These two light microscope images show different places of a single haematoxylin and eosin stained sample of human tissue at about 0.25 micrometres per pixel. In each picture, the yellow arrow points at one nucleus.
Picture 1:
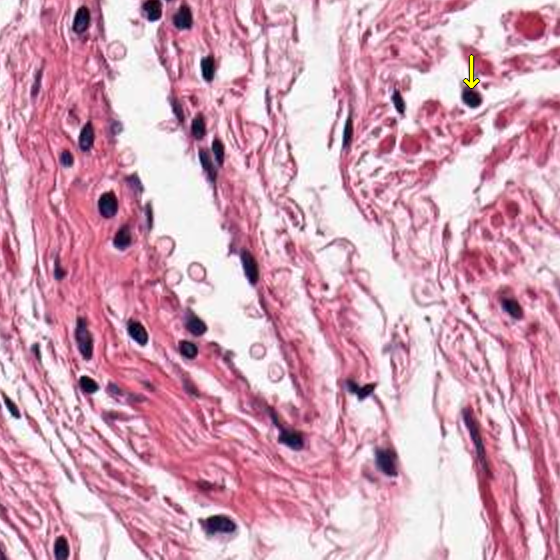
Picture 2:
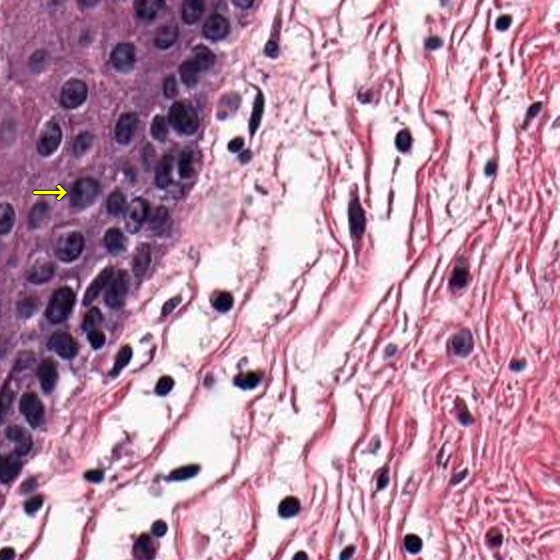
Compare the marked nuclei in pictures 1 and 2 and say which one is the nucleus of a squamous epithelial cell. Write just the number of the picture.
2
